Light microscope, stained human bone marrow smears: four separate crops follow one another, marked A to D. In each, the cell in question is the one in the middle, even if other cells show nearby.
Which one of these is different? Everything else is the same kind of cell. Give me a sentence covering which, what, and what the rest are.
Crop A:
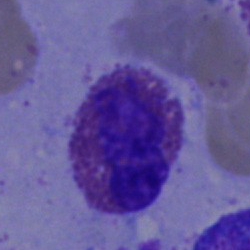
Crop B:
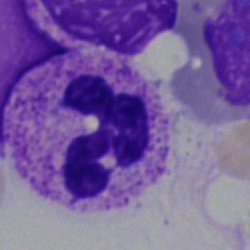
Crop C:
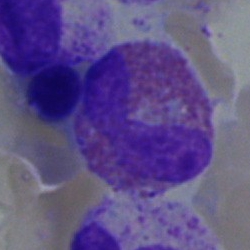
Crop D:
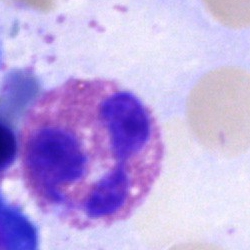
All the crops contain eosinophils save crop B, where there is a segmented neutrophil.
